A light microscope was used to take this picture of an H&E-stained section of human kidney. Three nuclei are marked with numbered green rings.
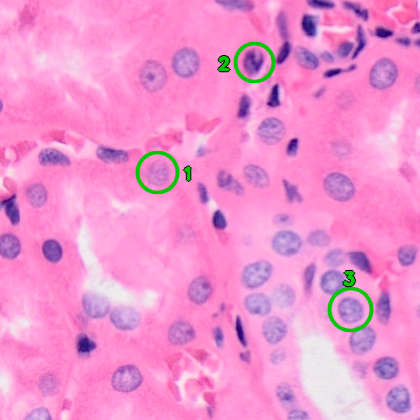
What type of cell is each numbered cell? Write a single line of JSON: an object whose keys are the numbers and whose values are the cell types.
{"1": "proximal tubule cell", "2": "loop of Henle or distal tubule cell", "3": "collecting duct cell"}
